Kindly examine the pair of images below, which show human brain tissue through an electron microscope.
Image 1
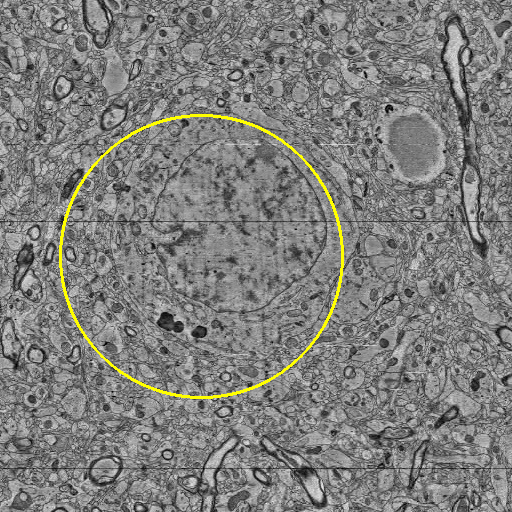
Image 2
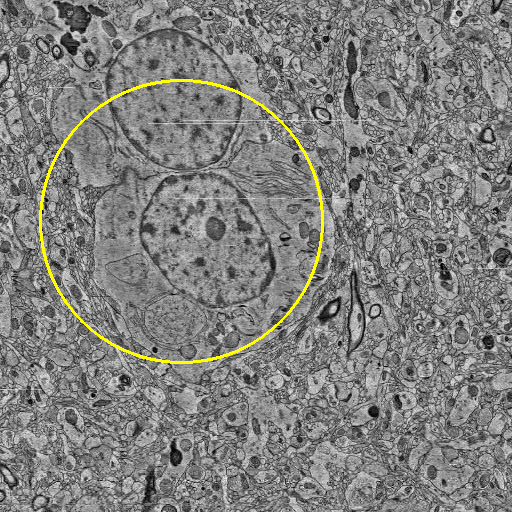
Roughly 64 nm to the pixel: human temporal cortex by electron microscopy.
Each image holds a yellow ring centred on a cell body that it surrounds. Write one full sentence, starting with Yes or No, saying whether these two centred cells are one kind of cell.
No, the cells at the centres of the yellow rings belong to two kinds of cell.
